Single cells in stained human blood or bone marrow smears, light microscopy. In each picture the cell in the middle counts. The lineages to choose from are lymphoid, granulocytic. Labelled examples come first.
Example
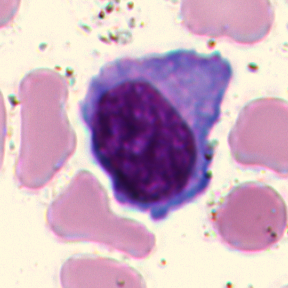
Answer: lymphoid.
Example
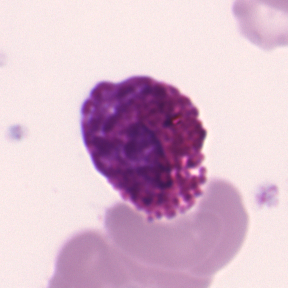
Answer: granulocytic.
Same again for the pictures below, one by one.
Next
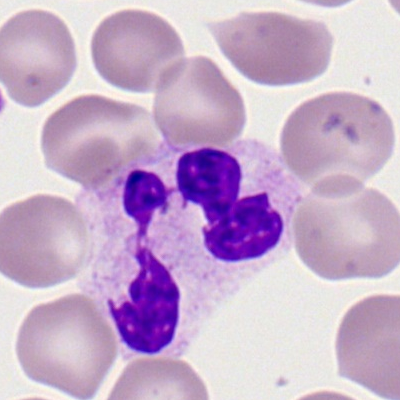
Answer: granulocytic.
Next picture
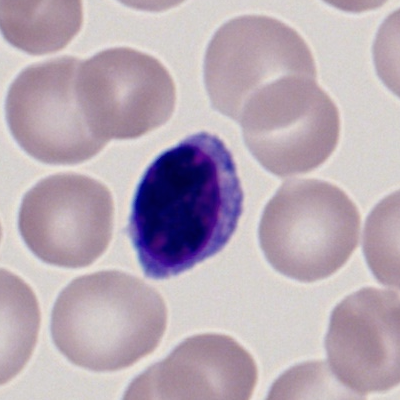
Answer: lymphoid.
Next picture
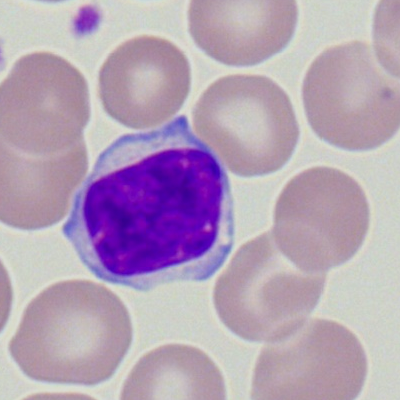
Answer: lymphoid.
